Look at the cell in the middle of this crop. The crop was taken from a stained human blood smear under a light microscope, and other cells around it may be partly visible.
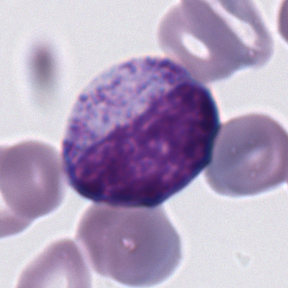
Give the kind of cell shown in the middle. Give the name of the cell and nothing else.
myelocyte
